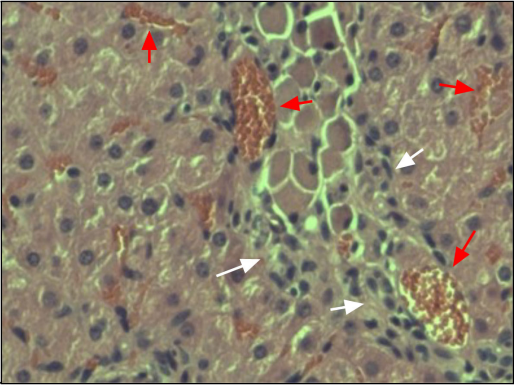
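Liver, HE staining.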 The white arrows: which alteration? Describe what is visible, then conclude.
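Inflammatory cell infiltration. The white arrows point to clusters of small, densely dark-staining nuclei. These small nuclei crowd between the larger cells with round pale nuclei and pink cytoplasm. The clusters lie in a band running through the middle of the field.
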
